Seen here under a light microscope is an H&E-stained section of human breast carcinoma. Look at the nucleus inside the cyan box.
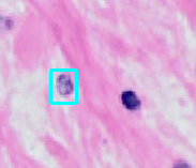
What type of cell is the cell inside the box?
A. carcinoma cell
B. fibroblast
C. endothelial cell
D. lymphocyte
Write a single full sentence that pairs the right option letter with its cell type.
Option D wins here: the cell inside the box is a lymphocyte.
